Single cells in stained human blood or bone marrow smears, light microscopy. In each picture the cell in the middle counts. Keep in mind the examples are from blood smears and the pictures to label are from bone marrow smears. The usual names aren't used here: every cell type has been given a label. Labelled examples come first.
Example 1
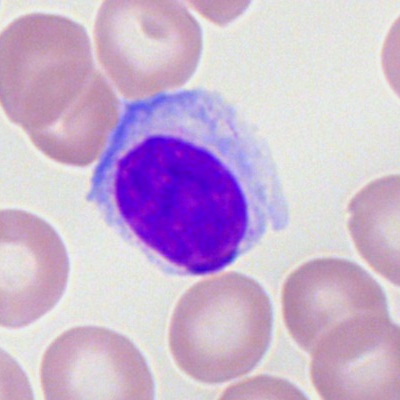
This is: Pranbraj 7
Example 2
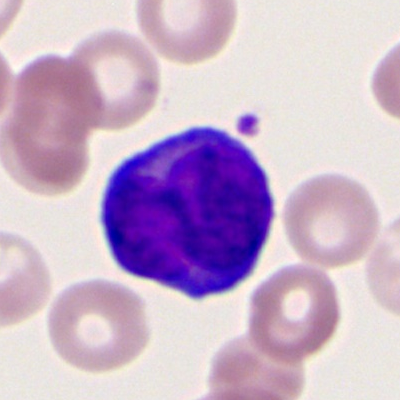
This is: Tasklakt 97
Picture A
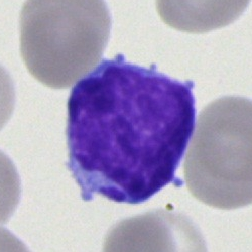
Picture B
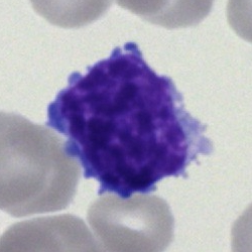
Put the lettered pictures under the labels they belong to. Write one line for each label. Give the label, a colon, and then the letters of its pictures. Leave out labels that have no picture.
Tasklakt 97: A, B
